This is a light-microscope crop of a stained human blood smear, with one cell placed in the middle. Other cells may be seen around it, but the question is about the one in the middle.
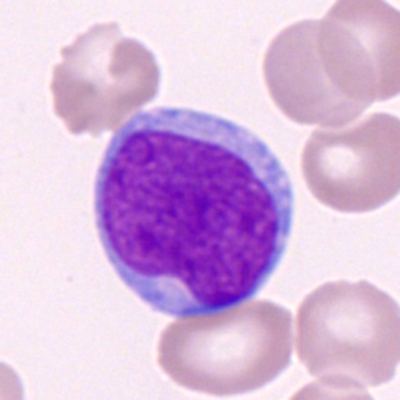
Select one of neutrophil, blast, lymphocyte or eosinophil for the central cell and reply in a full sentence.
In the center of this field lies a blast.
